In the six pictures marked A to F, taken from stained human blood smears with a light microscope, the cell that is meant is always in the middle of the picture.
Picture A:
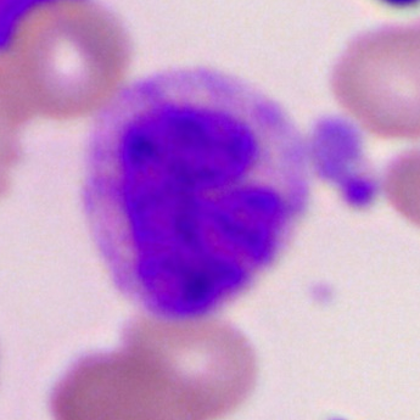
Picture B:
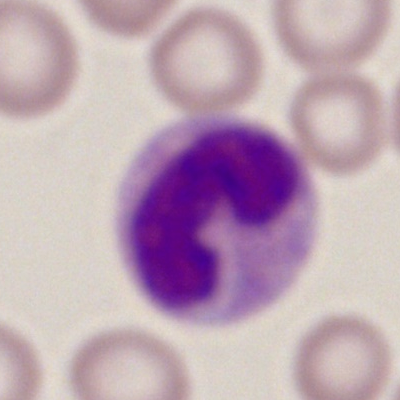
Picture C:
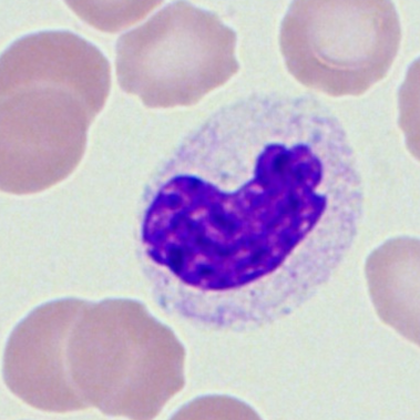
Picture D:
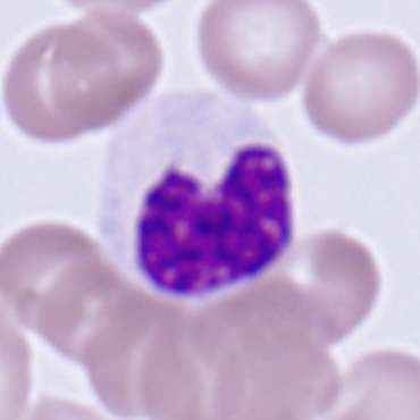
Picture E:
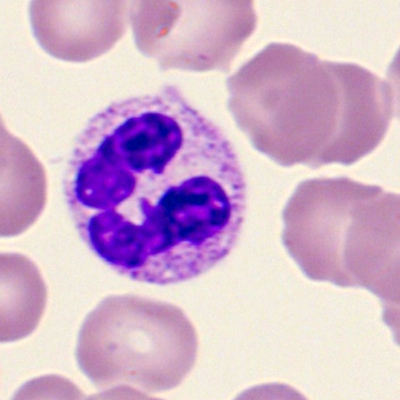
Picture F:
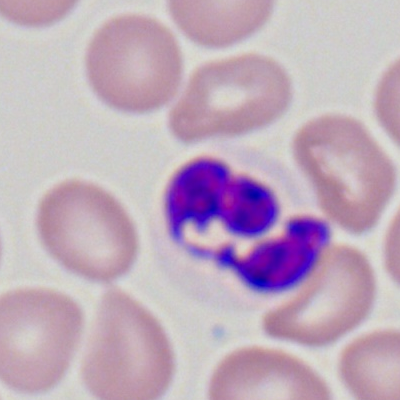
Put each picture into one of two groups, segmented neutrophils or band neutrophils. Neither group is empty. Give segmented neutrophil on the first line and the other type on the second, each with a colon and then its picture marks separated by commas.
segmented neutrophil: E, F
band neutrophil: A, B, C, D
